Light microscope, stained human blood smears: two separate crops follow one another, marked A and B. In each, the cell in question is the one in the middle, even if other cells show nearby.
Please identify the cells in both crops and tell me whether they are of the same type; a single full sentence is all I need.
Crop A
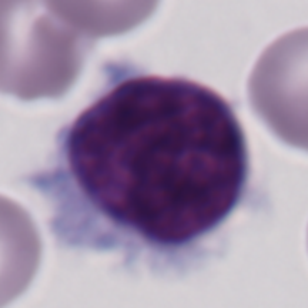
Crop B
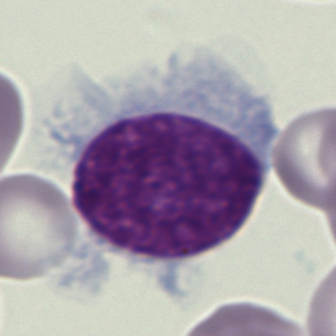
Yes, the cells that both crops show at the centre are hairy cells.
